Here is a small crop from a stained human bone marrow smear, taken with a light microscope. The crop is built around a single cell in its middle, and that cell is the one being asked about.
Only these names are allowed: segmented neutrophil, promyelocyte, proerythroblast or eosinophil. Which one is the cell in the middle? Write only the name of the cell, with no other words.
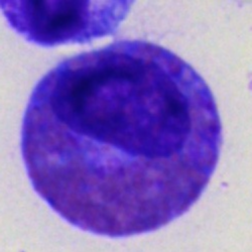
eosinophil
